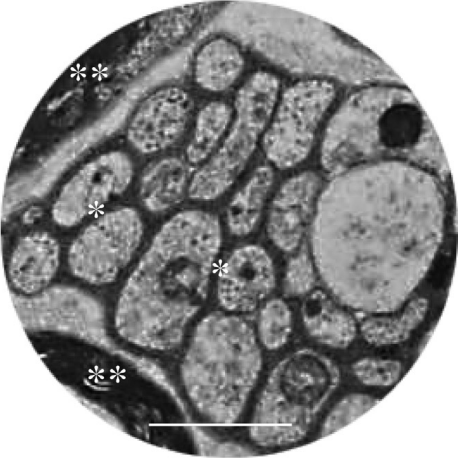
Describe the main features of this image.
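This cross section shows a Remak bundle in which numerous pale, rounded unmyelinated axons of varying size are packed together, each outlined by a thin dark rim of Schwann cell cytoplasm; one axon on the right is much larger than the rest. Thick, dense dark bands of compact myelin from neighbouring myelinated fibers border the bundle at the upper and lower left.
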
